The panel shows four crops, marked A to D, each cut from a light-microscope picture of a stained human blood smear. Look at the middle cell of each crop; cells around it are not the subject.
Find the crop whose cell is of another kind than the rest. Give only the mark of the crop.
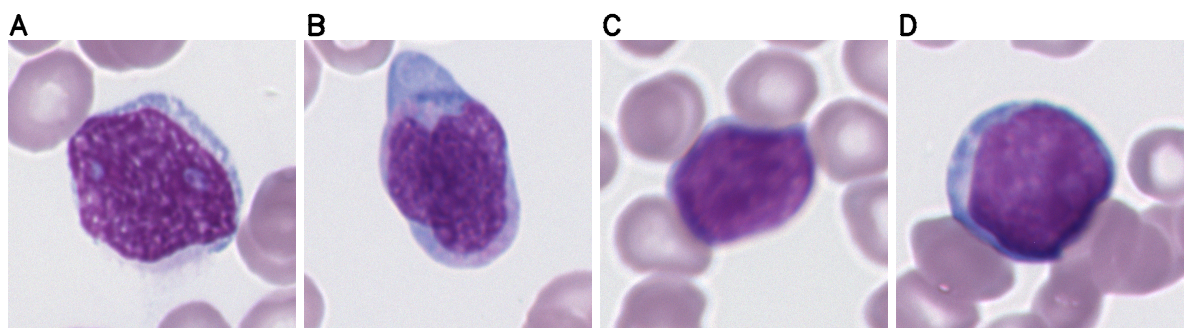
B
